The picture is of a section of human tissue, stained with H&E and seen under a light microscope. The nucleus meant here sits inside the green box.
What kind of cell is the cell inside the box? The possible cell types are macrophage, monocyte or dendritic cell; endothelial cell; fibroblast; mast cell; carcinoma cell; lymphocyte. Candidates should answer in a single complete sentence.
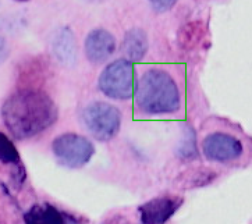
Speaking plainly, the cell inside the box is nothing other than a carcinoma cell.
